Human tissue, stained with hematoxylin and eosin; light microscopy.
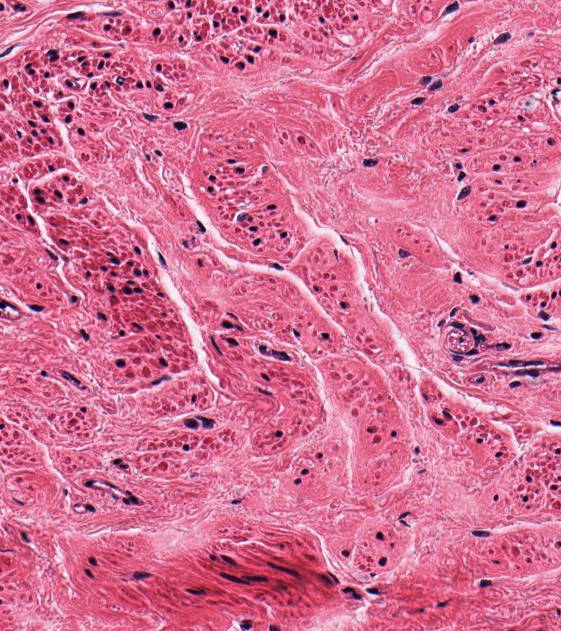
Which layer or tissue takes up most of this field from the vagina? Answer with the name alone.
smooth muscle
